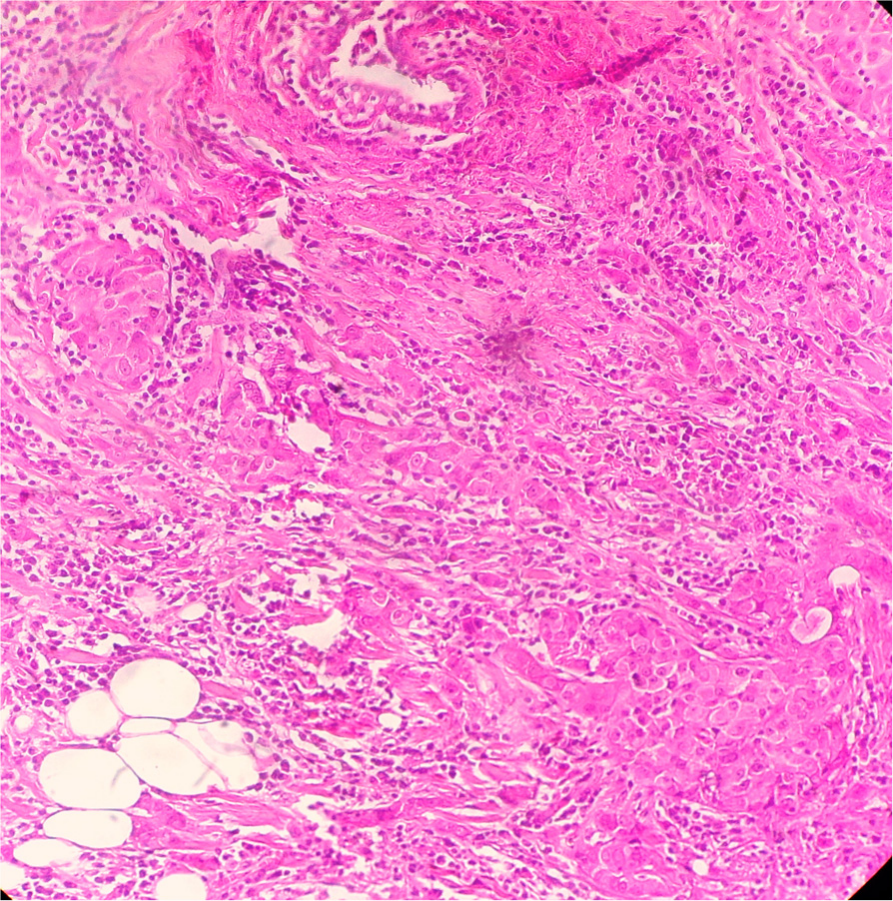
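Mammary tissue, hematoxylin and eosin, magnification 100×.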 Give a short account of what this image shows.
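Groups of large polygonal cells with plentiful pink cytoplasm and large, round to oval, vesicular nuclei gather in small clusters and irregular sheets. The nests are set within strands of pink fibrous stroma that run obliquely across the field. Between the nests, the stroma is crowded with many small cells with dark, round nuclei. At the lower left lies a small group of empty, rounded fat cells, the remains of the breast's adipose tissue. At the top, a space lined by cells is surrounded by concentric fibrous tissue.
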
